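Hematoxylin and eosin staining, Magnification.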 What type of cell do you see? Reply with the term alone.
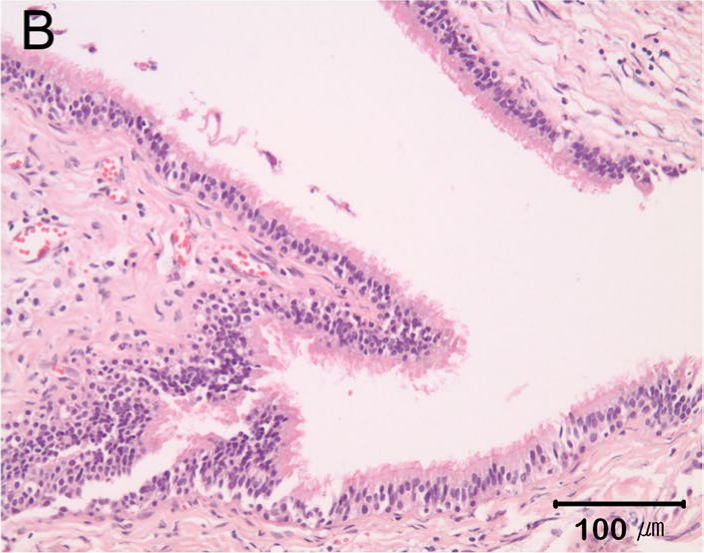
Ciliated pseudostratified columnar respiratory-type epithelium.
